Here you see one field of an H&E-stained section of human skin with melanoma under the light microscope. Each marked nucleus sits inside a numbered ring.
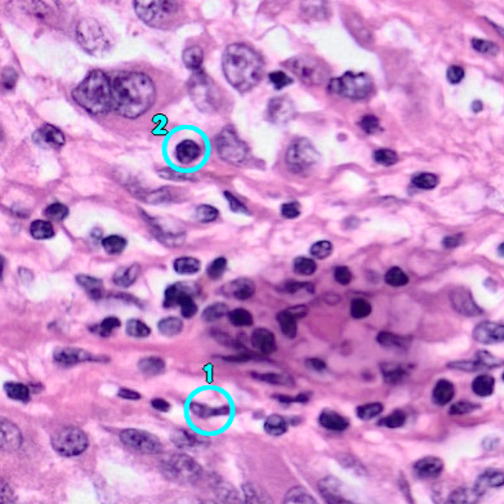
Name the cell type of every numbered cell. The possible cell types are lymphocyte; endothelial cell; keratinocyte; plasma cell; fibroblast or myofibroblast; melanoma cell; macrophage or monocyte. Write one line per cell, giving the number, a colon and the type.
1: fibroblast or myofibroblast
2: lymphocyte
